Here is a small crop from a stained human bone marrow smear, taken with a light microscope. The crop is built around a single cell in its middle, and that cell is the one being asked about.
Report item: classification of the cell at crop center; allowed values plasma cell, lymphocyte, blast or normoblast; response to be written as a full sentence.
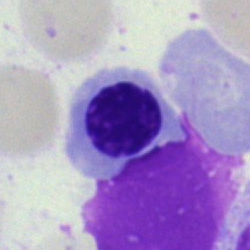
Occupying the centre of the crop is a normoblast.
